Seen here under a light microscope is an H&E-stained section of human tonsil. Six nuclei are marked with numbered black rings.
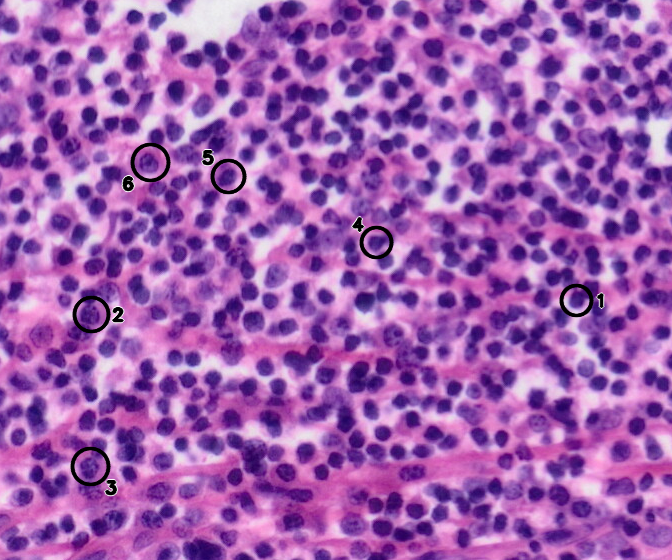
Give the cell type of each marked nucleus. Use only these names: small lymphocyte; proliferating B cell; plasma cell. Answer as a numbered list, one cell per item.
1. small lymphocyte
2. plasma cell
3. plasma cell
4. small lymphocyte
5. plasma cell
6. plasma cell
